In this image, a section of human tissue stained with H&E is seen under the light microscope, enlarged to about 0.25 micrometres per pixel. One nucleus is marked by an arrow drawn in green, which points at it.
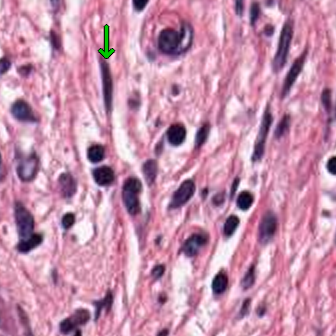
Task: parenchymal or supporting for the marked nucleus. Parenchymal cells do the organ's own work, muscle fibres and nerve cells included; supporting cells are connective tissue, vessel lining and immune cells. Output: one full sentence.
That the marked nucleus belongs to a supporting cell is what the section shows.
